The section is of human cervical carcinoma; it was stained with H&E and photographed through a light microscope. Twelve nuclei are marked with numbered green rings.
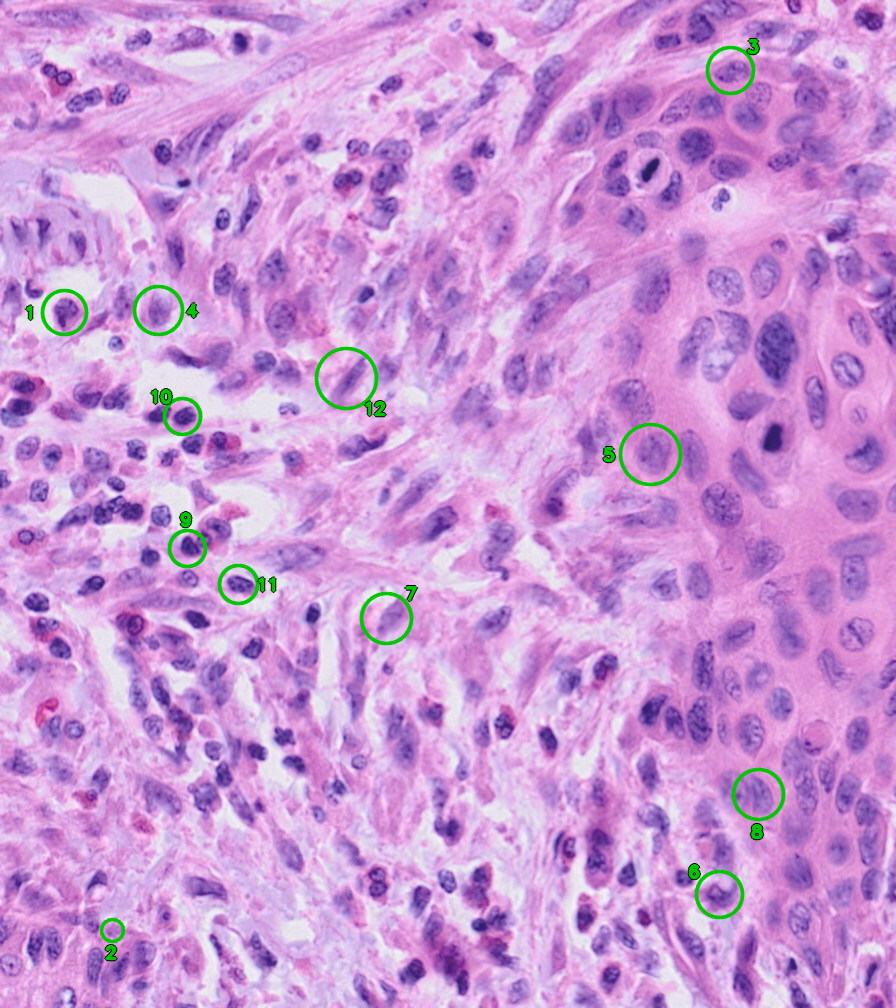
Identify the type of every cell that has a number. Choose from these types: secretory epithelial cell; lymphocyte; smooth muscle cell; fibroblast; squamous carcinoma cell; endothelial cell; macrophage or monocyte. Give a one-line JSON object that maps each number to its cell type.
{"1": "macrophage or monocyte", "2": "fibroblast", "3": "squamous carcinoma cell", "4": "fibroblast", "5": "squamous carcinoma cell", "6": "macrophage or monocyte", "7": "fibroblast", "8": "squamous carcinoma cell", "9": "lymphocyte", "10": "lymphocyte", "11": "lymphocyte", "12": "fibroblast"}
